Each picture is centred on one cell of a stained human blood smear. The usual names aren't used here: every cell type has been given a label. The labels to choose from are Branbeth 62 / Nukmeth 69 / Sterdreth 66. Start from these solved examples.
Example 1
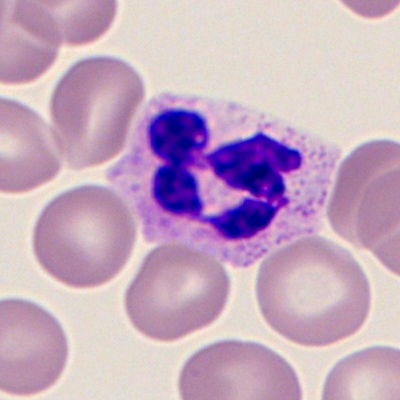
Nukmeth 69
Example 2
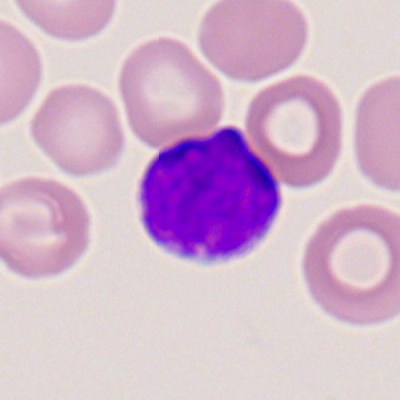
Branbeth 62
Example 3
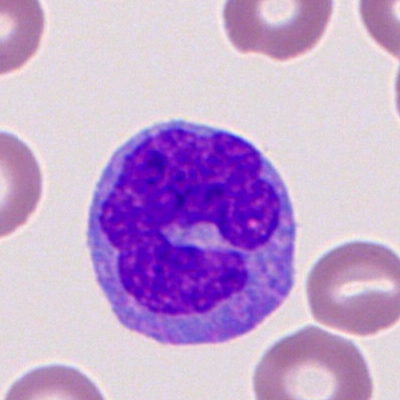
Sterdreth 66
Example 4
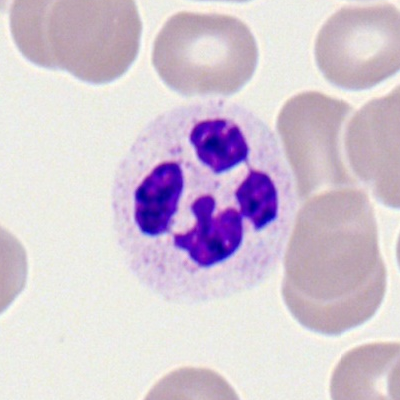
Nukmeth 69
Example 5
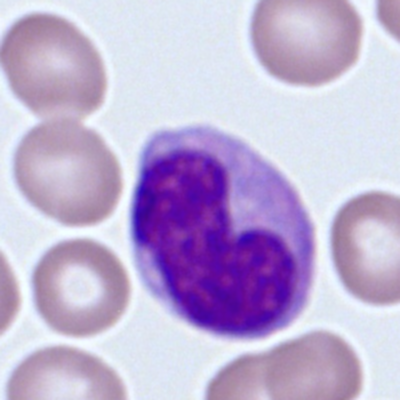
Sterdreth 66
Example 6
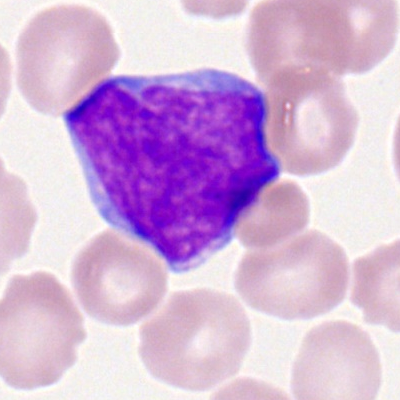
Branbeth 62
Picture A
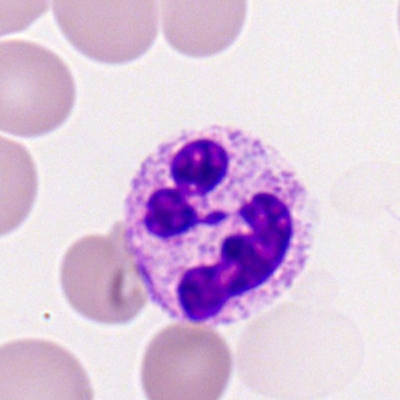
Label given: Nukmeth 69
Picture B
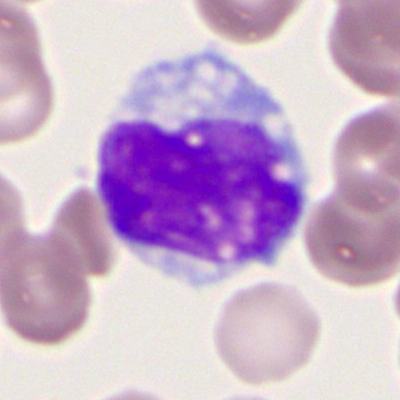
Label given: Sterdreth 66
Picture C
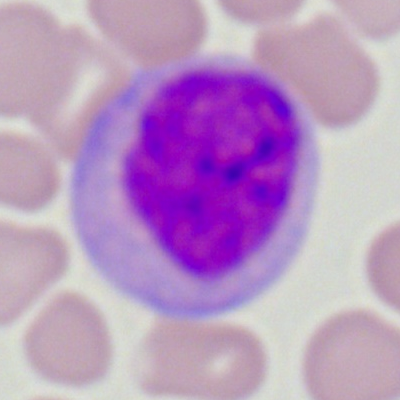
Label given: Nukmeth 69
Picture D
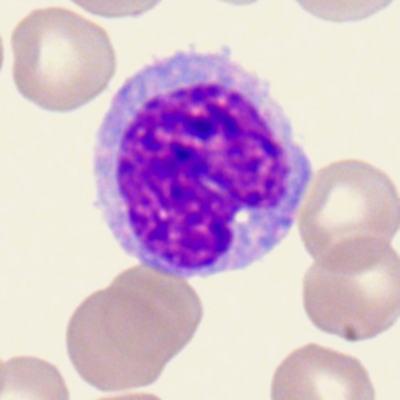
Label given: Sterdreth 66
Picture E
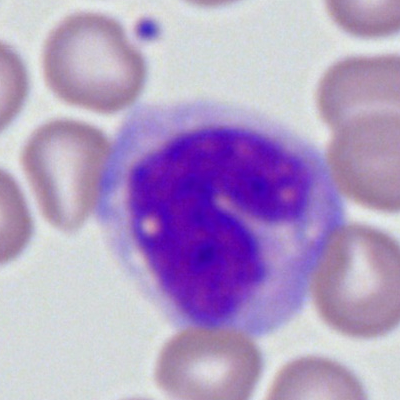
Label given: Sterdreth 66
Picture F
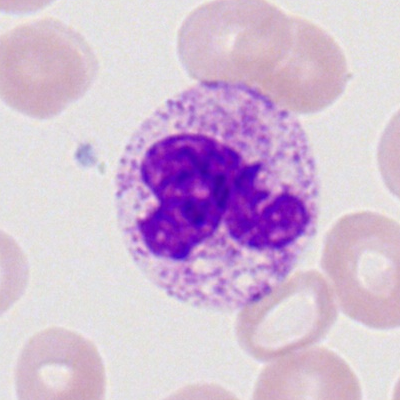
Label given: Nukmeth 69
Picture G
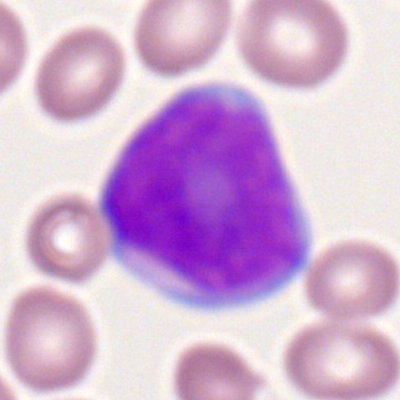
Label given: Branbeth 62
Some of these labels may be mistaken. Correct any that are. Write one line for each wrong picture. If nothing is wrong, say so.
C: Sterdreth 66, not Nukmeth 69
